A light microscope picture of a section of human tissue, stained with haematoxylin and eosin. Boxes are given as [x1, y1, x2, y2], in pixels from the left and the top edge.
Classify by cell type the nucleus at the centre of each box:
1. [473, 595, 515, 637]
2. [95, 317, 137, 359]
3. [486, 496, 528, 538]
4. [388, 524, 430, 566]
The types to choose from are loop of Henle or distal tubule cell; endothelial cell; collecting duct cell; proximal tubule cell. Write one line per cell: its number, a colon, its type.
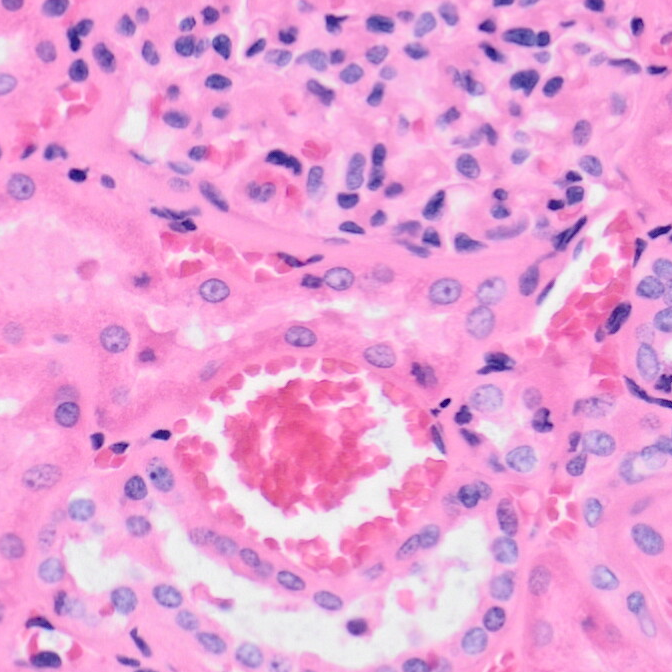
1: collecting duct cell
2: proximal tubule cell
3: collecting duct cell
4: collecting duct cell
